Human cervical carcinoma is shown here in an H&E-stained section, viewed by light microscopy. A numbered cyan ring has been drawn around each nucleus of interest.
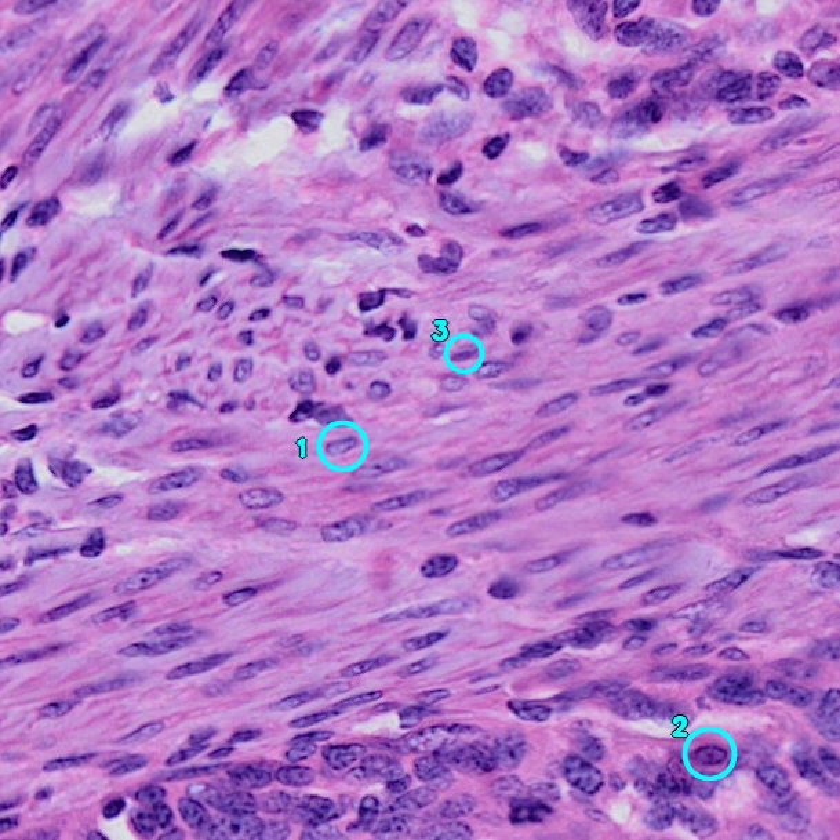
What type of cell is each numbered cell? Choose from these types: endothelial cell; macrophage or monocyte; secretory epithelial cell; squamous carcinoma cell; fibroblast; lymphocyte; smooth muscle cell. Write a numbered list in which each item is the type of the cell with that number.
1. smooth muscle cell
2. squamous carcinoma cell
3. smooth muscle cell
